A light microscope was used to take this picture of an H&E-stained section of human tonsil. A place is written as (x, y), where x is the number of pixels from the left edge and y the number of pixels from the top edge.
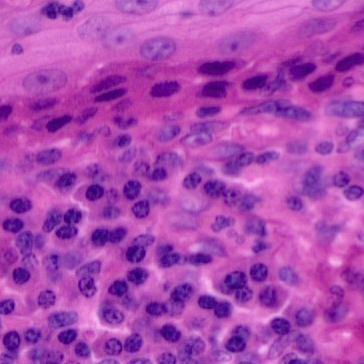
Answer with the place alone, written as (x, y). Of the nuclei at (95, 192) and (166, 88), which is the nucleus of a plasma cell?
(95, 192)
